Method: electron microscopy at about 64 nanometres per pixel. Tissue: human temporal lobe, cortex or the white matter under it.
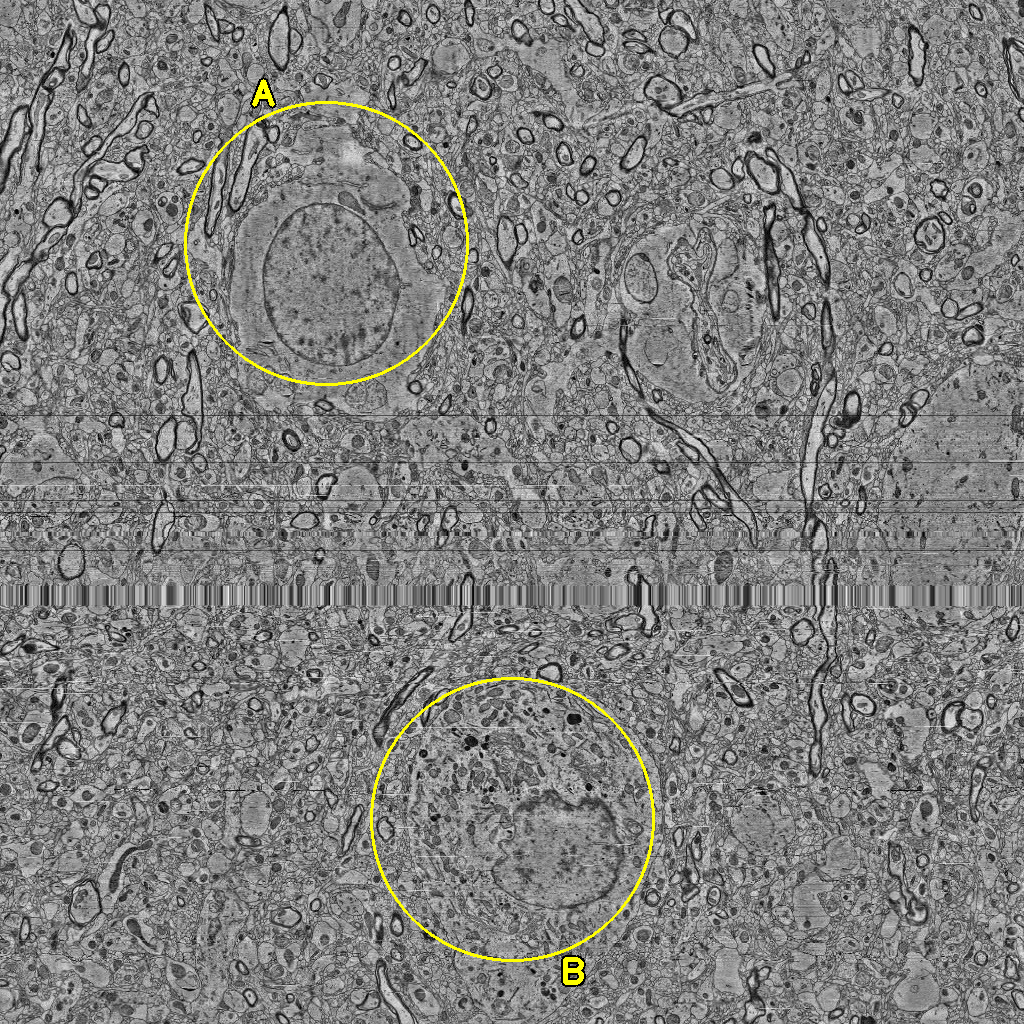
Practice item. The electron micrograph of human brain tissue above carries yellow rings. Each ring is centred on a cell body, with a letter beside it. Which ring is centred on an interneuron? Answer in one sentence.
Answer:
Ring B is centred on it.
